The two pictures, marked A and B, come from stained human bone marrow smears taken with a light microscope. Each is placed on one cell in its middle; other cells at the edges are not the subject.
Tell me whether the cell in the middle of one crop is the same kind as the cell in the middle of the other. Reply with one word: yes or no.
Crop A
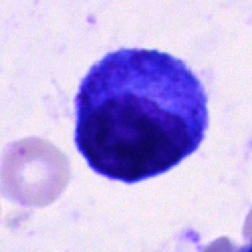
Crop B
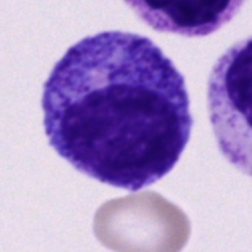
yes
